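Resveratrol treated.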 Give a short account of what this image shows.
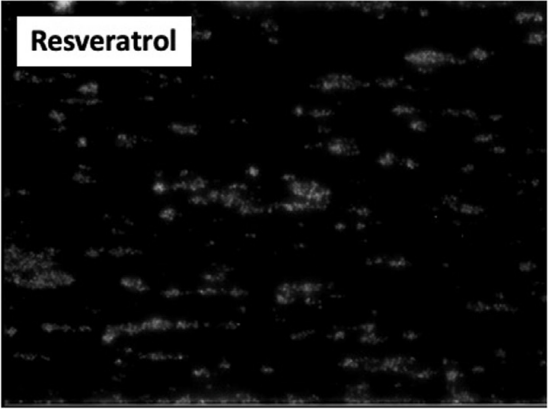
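The spots form small, scattered clusters that are elongated horizontally. The clusters are widely separated by large dark areas, and only a small part of the field is covered. Individual bright dots are visible within the clusters, giving them a speckled texture.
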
